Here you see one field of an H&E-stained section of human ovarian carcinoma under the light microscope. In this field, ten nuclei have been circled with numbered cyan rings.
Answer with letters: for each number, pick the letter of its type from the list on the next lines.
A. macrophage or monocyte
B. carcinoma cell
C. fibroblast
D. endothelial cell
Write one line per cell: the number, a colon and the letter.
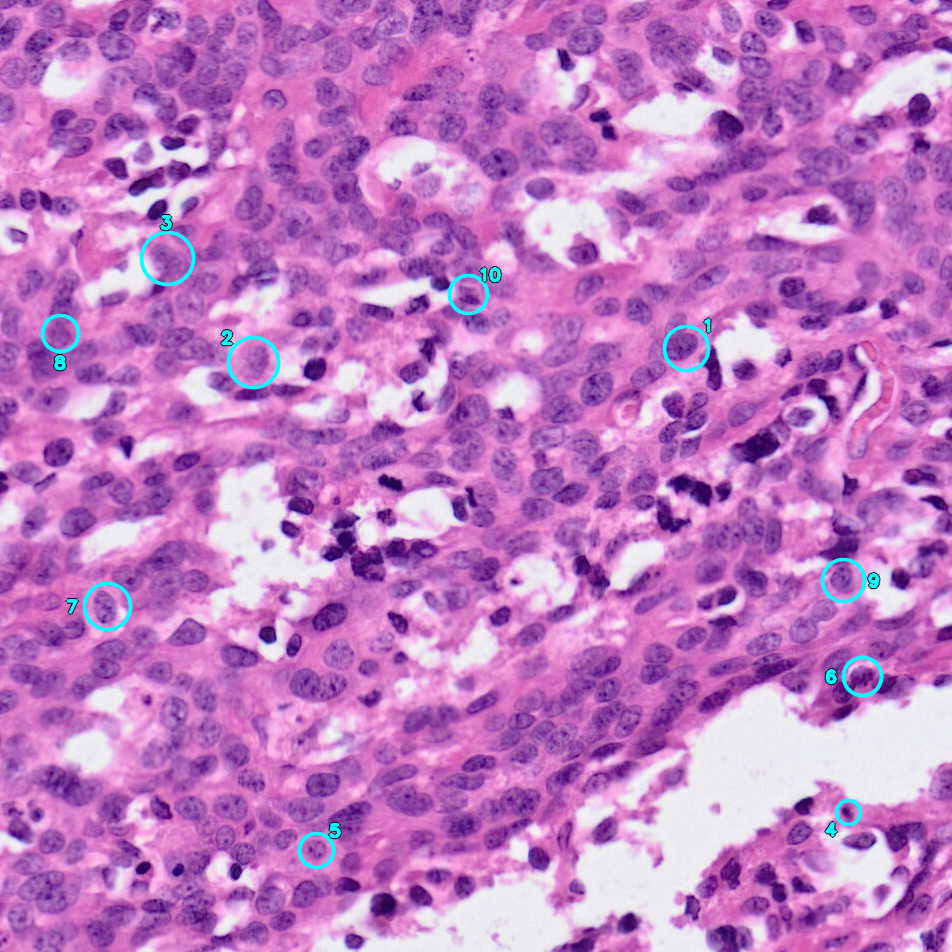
1: B
2: B
3: B
4: A
5: A
6: B
7: A
8: B
9: A
10: B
